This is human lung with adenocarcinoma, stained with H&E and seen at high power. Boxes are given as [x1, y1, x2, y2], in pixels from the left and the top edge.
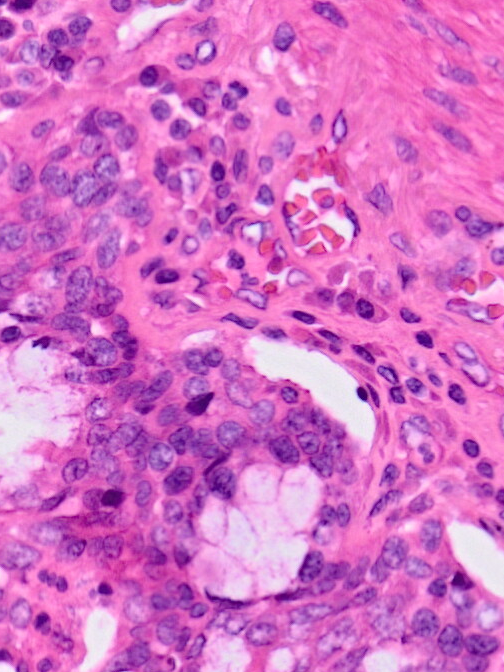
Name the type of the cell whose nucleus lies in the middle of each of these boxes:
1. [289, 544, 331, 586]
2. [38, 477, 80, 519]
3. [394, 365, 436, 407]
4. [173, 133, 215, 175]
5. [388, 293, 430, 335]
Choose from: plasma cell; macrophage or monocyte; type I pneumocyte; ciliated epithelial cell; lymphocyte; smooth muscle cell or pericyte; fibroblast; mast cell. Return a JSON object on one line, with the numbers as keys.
{"1": "ciliated epithelial cell", "2": "ciliated epithelial cell", "3": "lymphocyte", "4": "plasma cell", "5": "mast cell"}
